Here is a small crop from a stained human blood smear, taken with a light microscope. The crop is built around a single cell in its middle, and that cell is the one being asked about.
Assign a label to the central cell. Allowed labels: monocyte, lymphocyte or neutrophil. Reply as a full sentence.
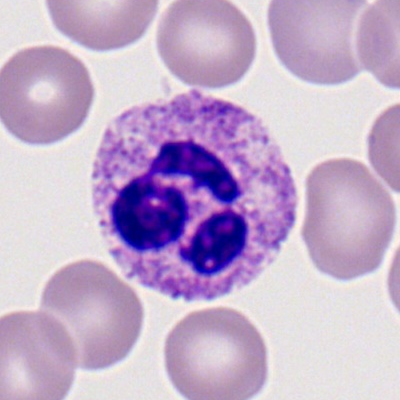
Classification of the middle cell gives a neutrophil.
